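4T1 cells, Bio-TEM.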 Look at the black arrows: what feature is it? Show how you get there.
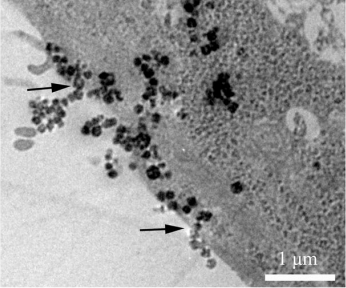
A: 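Nanoparticles. The arrows point at small round electron-dense particles. The particles sit in clusters at the edge of the cell.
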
